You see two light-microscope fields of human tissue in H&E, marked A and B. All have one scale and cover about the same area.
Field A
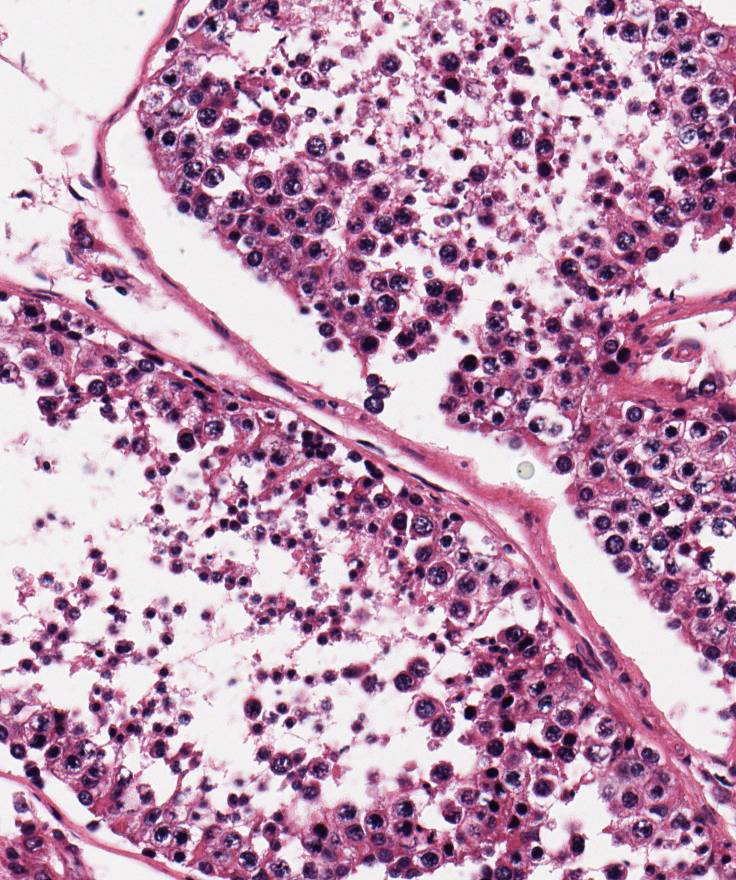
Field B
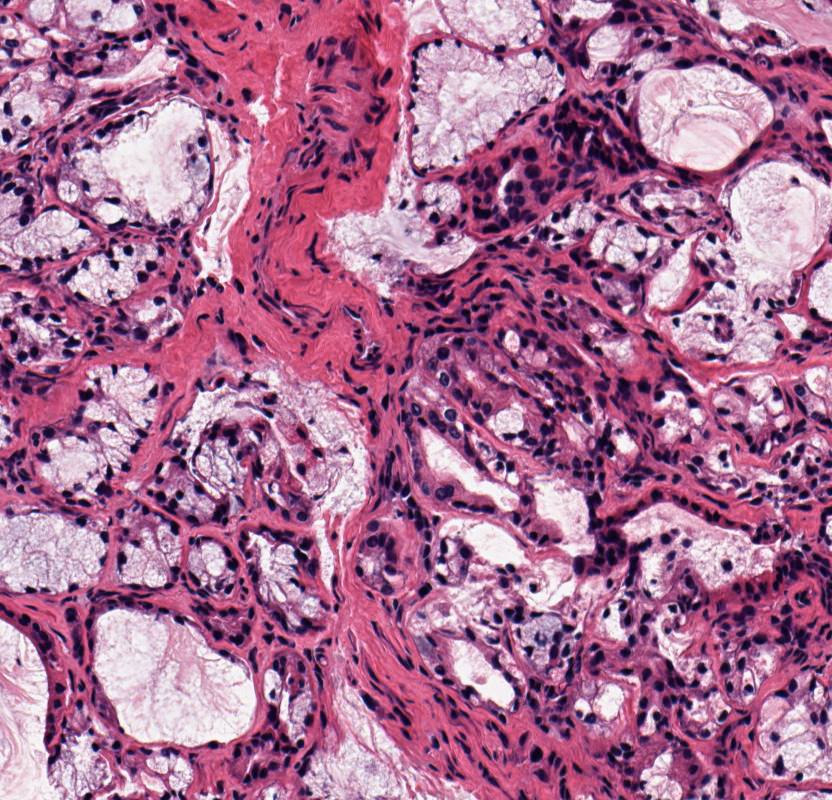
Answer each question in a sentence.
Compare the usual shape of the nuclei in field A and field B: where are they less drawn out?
On the whole the nuclei of field A are rounder than those of field B.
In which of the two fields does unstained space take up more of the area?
Field A has more white space.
